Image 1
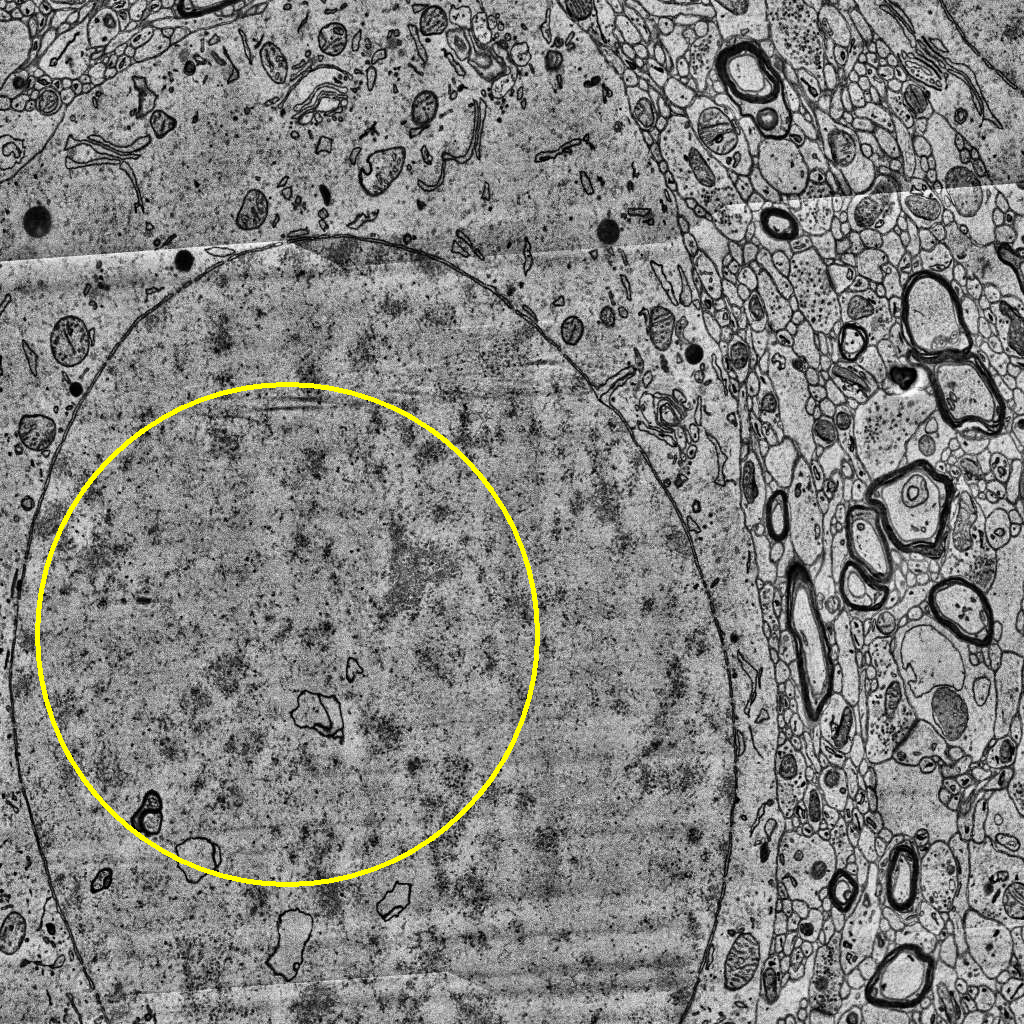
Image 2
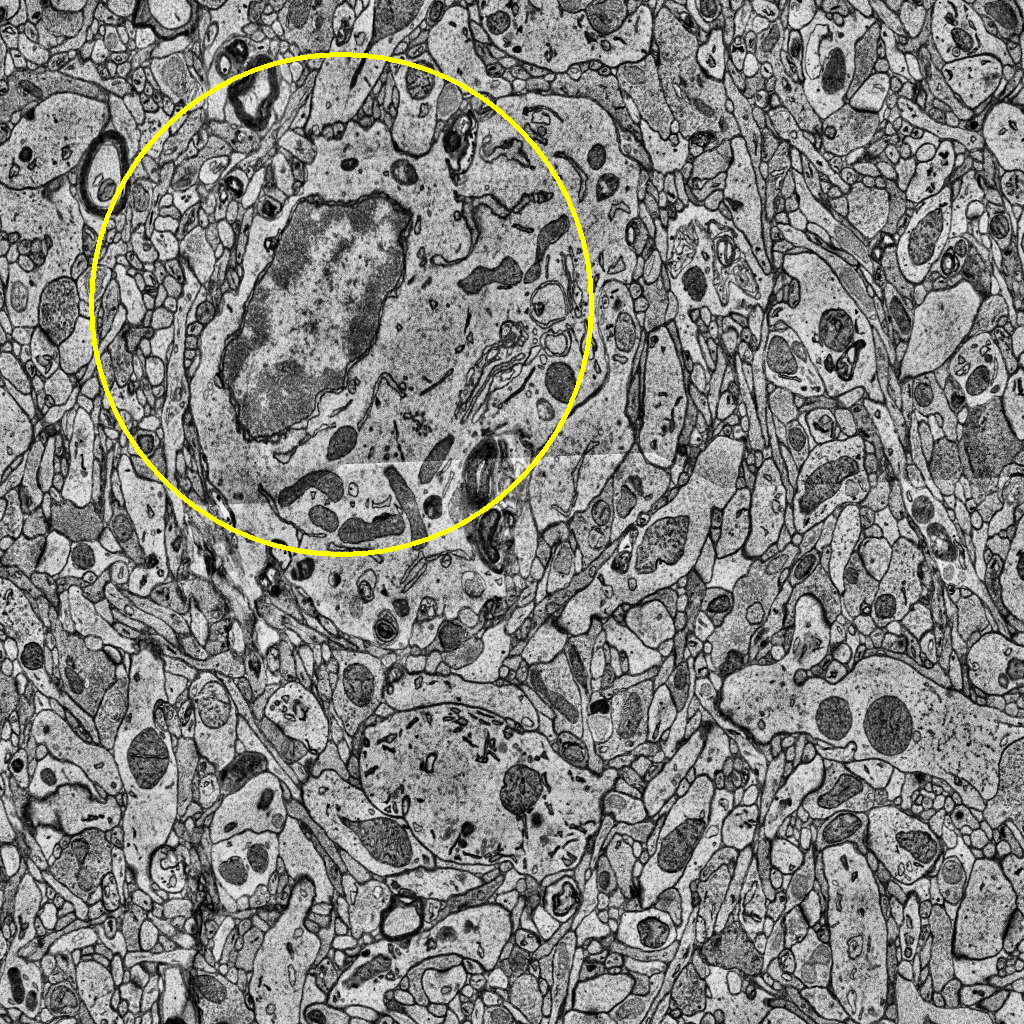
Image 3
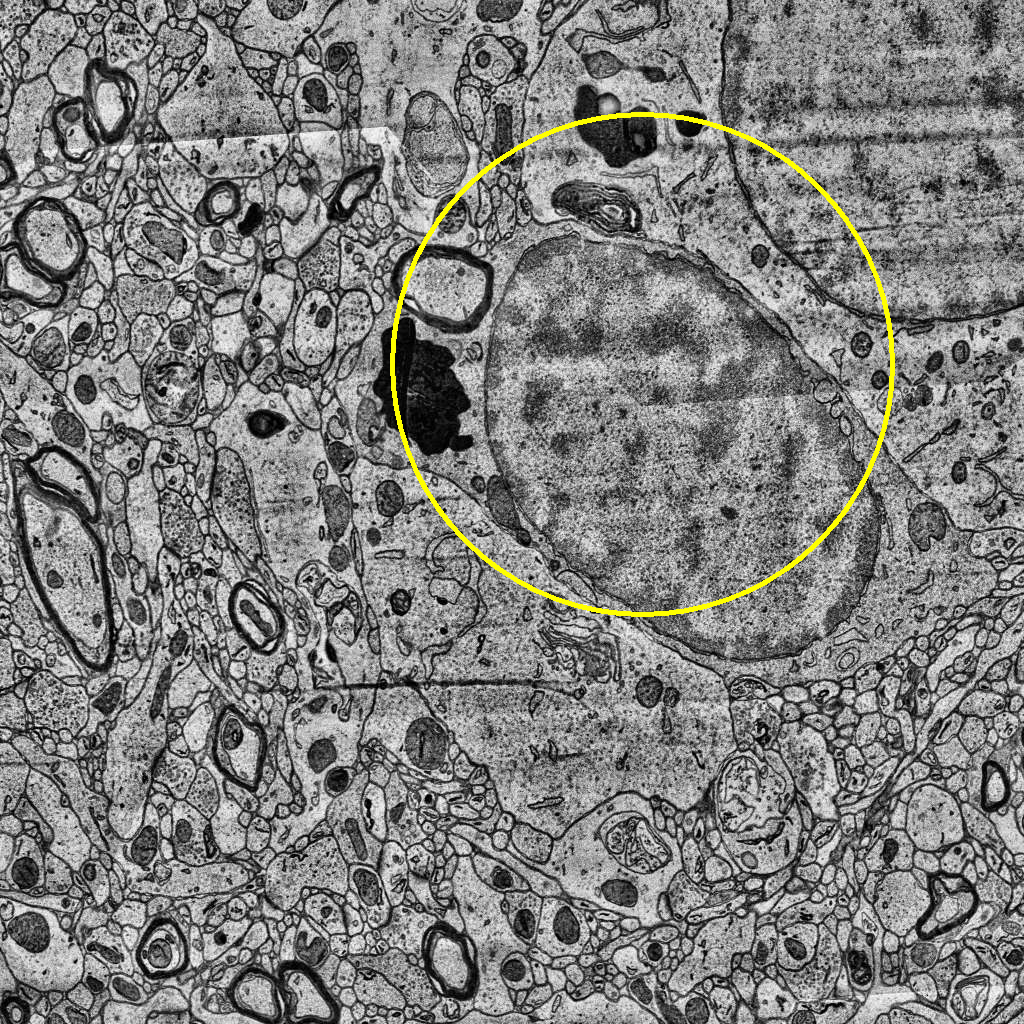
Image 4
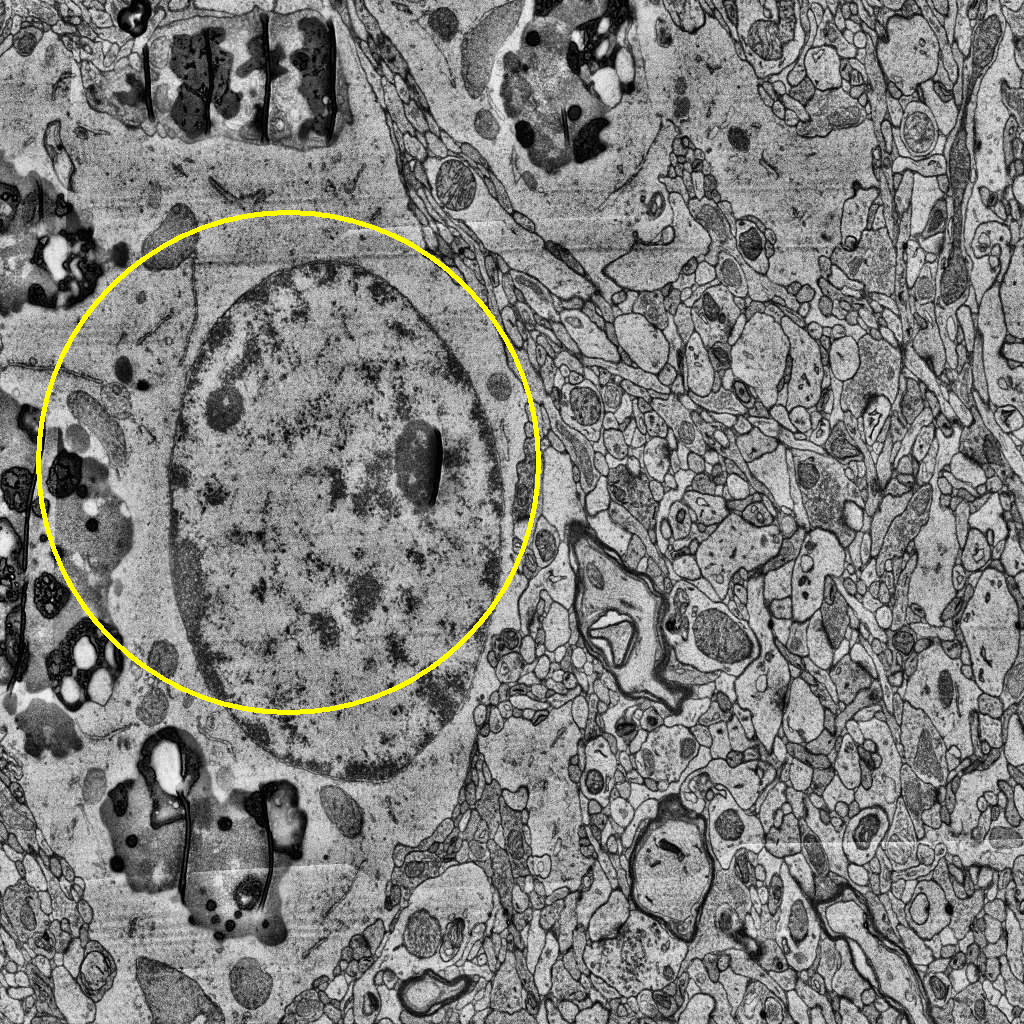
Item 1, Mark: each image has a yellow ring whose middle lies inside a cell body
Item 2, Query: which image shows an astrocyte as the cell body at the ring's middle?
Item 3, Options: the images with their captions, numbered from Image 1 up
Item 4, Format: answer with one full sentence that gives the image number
My answer is image 4, where the cell lying under the ring's middle fits.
